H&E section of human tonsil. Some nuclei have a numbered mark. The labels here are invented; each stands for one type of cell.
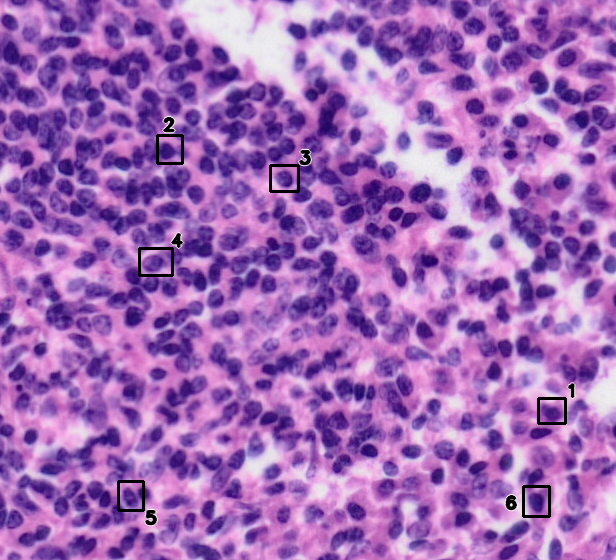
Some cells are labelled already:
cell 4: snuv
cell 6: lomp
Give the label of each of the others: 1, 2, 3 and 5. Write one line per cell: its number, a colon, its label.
1: lomp
2: snuv
3: snuv
5: snuv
